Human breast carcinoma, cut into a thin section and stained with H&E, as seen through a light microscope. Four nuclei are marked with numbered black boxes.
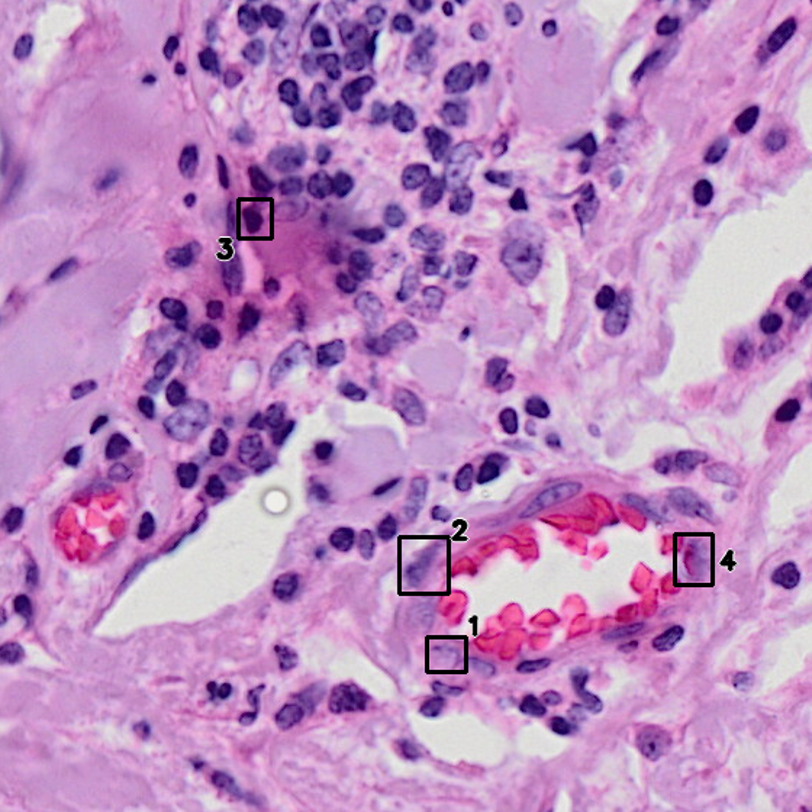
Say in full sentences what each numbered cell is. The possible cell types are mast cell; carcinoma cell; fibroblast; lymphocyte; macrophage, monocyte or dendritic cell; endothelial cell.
Cells 1, 2 and 4 are endothelial cells. Cell 3 is a lymphocyte.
